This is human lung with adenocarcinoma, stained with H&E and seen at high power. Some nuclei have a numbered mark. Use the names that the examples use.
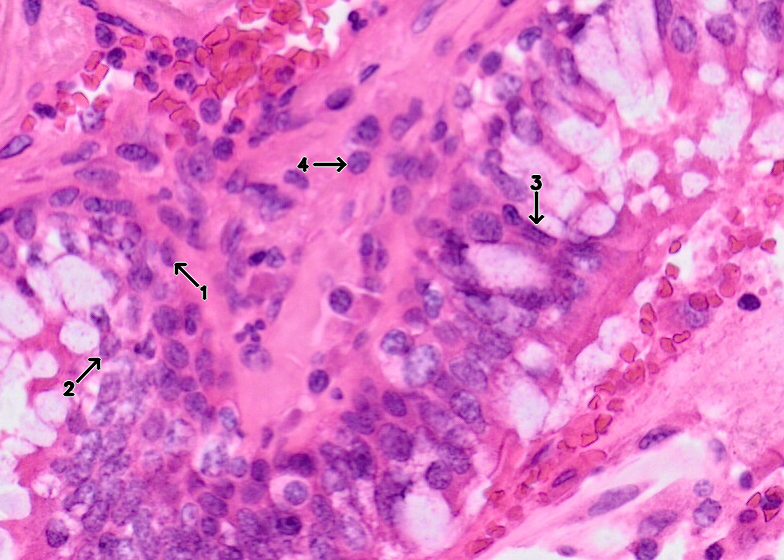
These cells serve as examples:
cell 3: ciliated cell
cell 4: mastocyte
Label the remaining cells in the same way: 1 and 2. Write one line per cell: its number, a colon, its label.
1: ciliated cell
2: ciliated cell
